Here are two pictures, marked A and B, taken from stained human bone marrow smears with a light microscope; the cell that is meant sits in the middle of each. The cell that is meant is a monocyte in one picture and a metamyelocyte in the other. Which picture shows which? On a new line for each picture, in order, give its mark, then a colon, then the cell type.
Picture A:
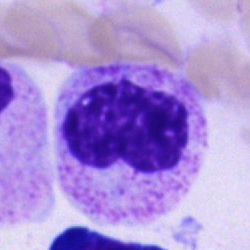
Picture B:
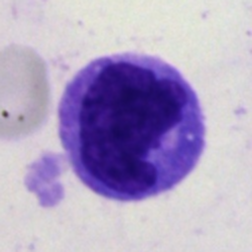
A: metamyelocyte
B: monocyte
